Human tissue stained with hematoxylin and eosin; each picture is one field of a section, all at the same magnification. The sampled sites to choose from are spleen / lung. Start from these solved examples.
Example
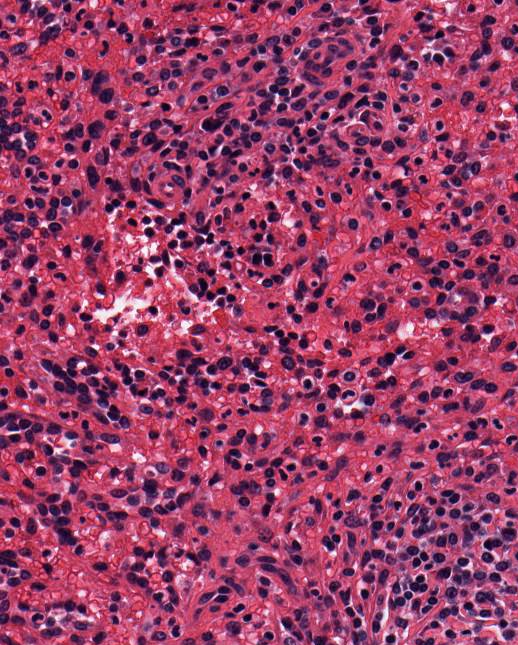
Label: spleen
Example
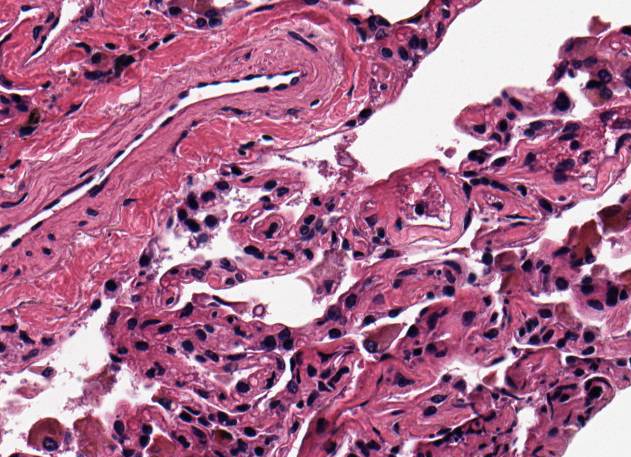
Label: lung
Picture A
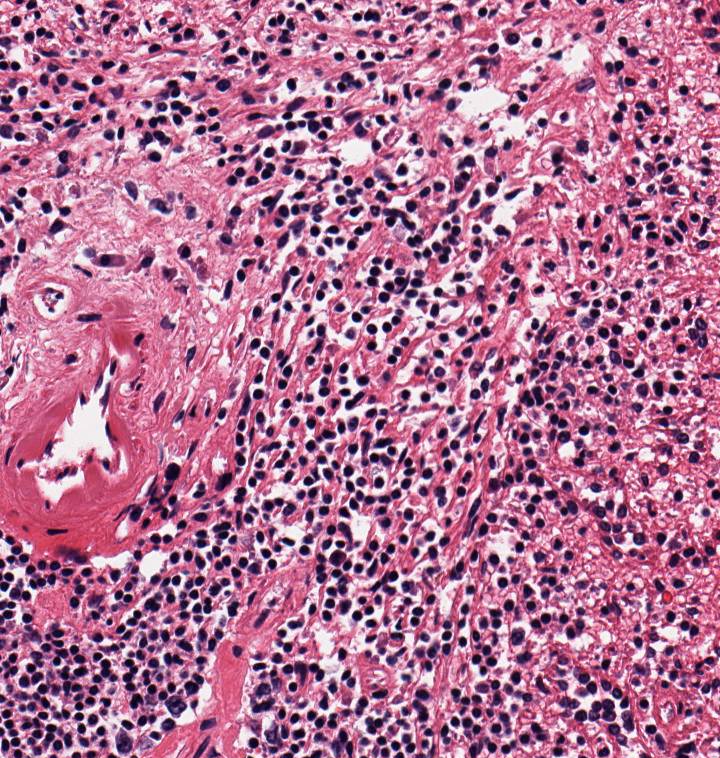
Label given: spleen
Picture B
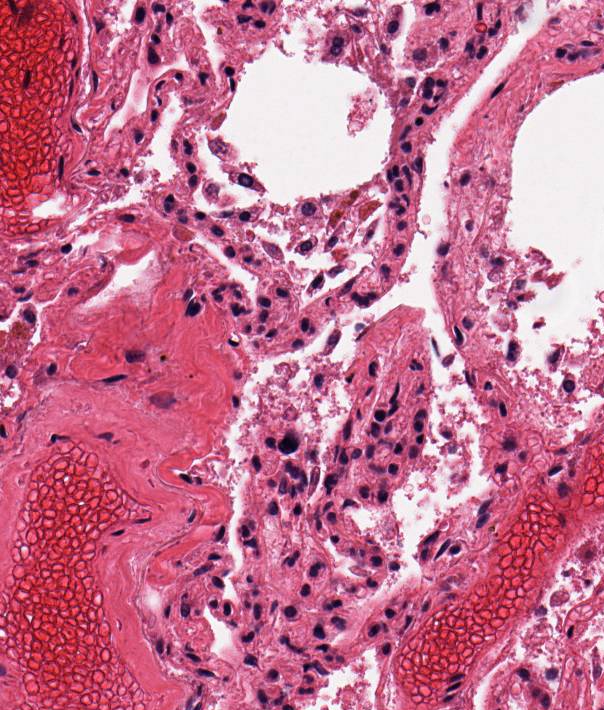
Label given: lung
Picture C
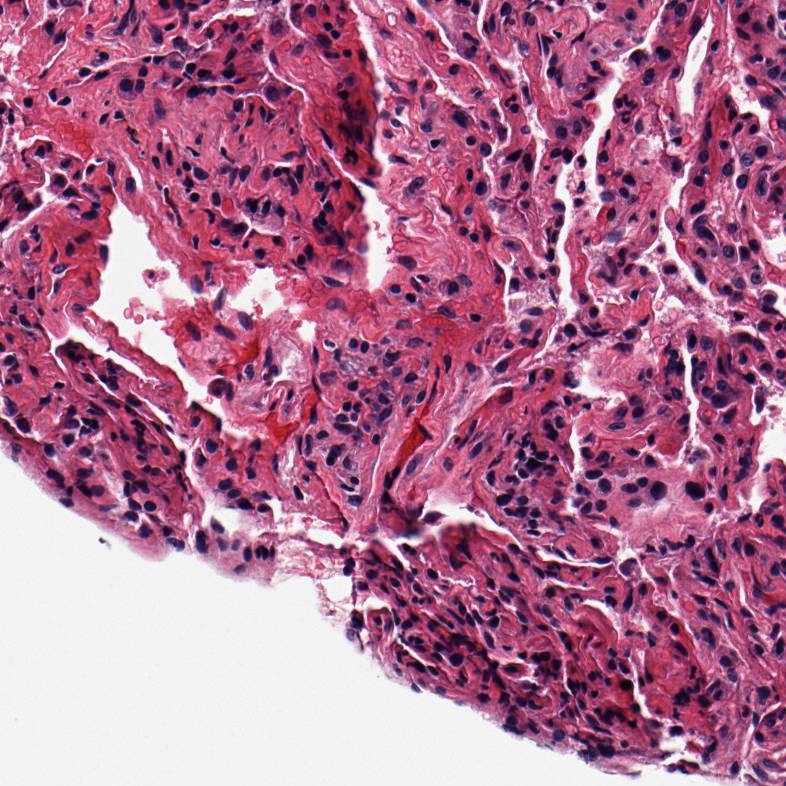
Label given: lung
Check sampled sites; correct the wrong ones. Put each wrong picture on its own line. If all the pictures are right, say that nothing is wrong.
All correct.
